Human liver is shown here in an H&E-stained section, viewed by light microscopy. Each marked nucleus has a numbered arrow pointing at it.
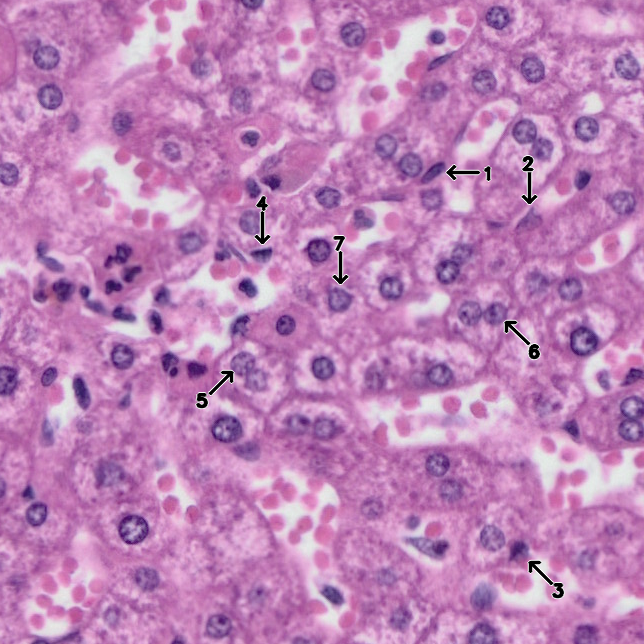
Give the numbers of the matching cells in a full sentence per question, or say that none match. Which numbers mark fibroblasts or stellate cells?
The cells given the numbers 1, 3 and 4 are fibroblasts or stellate cells.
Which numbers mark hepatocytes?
The cells given the numbers 5, 6 and 7 are hepatocytes.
